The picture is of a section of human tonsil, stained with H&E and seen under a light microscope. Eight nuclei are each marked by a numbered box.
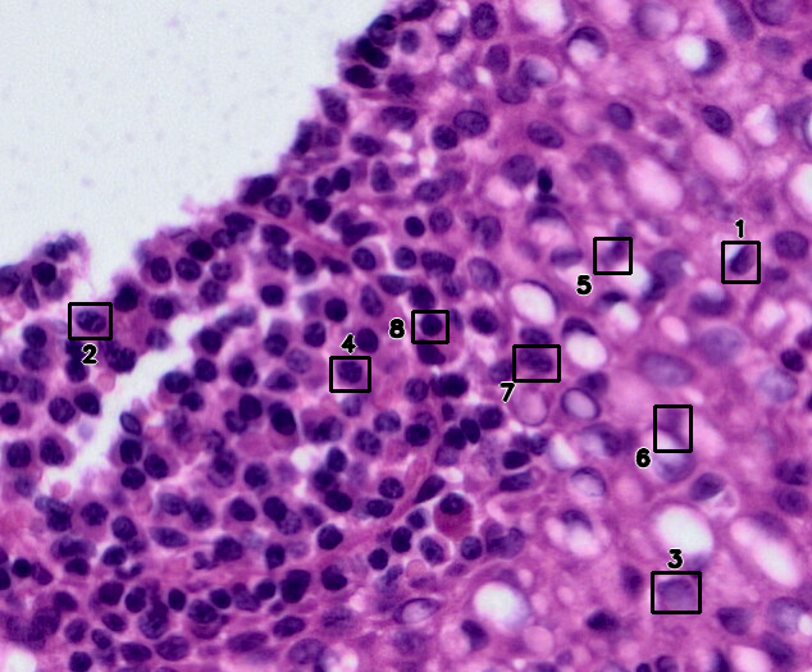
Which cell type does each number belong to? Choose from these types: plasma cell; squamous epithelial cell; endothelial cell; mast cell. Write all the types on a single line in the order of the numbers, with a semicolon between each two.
squamous epithelial cell; plasma cell; squamous epithelial cell; plasma cell; squamous epithelial cell; squamous epithelial cell; squamous epithelial cell; plasma cell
